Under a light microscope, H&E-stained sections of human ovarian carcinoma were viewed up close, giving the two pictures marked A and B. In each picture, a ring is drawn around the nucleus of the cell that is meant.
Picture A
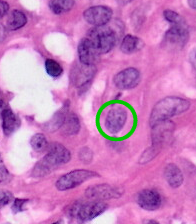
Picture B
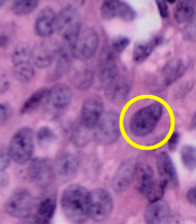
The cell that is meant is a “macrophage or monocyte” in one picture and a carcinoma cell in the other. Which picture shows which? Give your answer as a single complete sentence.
In picture A the cell is a “macrophage or monocyte”; in picture B, a carcinoma cell.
